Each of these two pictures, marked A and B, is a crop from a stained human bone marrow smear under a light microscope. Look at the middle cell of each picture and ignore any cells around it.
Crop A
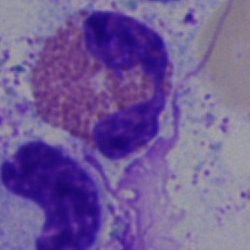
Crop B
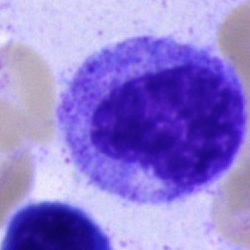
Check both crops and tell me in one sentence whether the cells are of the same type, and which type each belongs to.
No, an eosinophil is in crop A, while a promyelocyte is in crop B.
